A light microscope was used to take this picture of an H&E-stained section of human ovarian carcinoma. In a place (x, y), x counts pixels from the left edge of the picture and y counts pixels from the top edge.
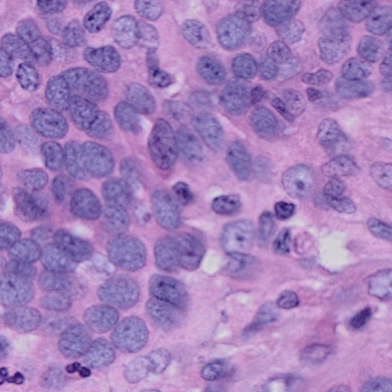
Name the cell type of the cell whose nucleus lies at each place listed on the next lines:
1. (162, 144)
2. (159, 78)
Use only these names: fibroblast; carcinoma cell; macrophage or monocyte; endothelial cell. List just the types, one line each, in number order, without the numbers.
carcinoma cell
macrophage or monocyte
